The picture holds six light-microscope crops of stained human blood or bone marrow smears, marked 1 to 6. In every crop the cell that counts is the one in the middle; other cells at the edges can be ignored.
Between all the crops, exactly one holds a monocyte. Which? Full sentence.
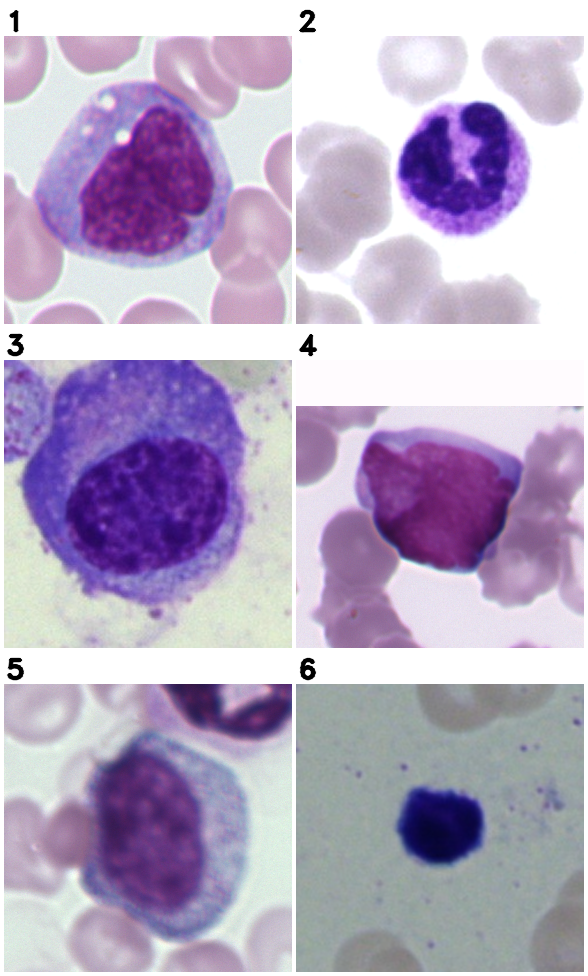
Identified crop: 1, the one that shows a monocyte.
